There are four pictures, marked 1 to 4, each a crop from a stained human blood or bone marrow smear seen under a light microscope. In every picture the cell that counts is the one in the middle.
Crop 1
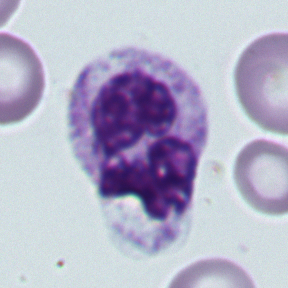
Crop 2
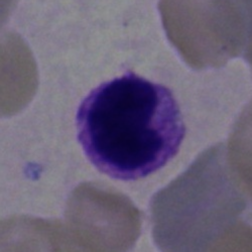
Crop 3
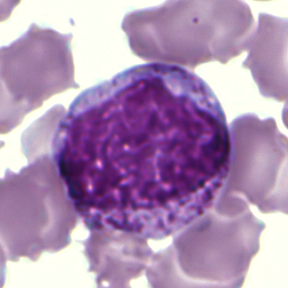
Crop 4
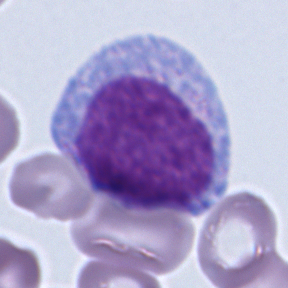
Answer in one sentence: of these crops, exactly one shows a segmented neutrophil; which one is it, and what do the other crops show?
Crop 1 is identified as a segmented neutrophil, while crop 2 is a basophil, crop 3 is a myelocyte and crop 4 is a promyelocyte.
